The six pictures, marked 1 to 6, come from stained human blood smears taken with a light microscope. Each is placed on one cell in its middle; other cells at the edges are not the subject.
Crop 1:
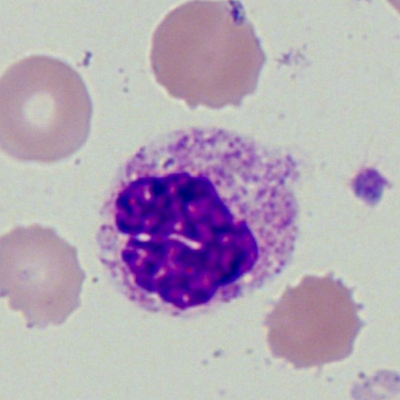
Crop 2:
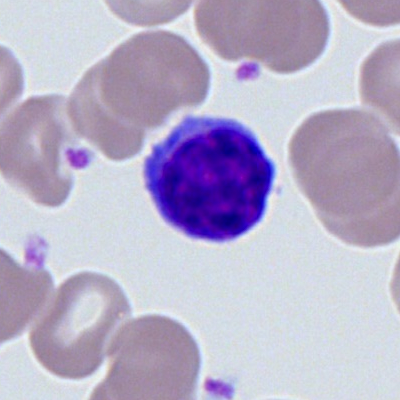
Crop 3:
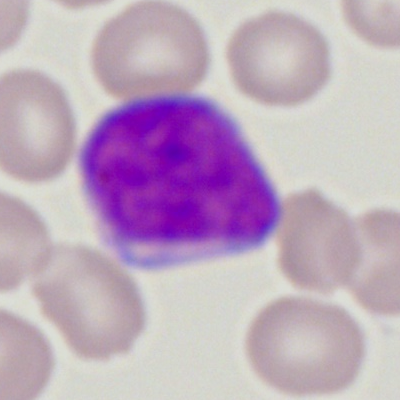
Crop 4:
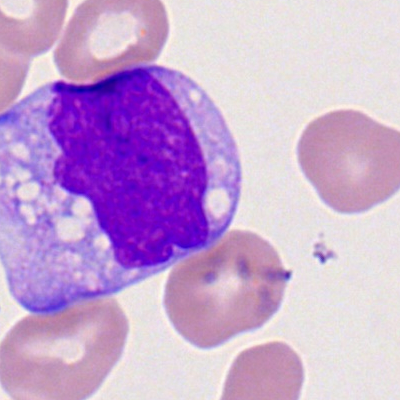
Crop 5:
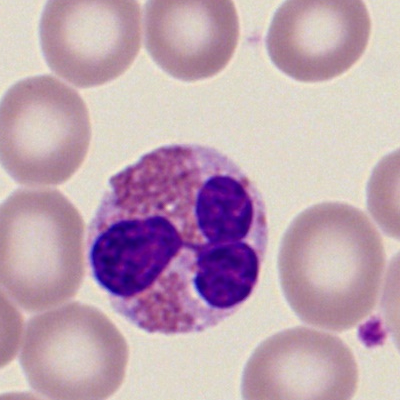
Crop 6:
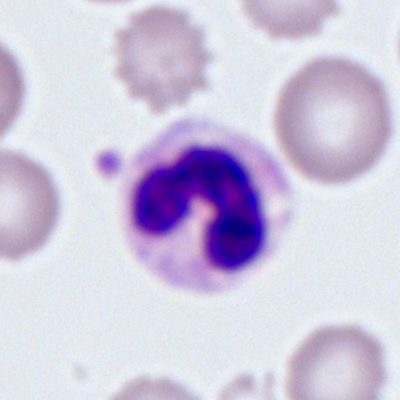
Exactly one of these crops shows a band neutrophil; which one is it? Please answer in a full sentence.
Crop 1 is the correct crop, and it shows a band neutrophil.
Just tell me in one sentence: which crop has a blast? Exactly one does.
So the crop with a blast at its center is crop 3.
